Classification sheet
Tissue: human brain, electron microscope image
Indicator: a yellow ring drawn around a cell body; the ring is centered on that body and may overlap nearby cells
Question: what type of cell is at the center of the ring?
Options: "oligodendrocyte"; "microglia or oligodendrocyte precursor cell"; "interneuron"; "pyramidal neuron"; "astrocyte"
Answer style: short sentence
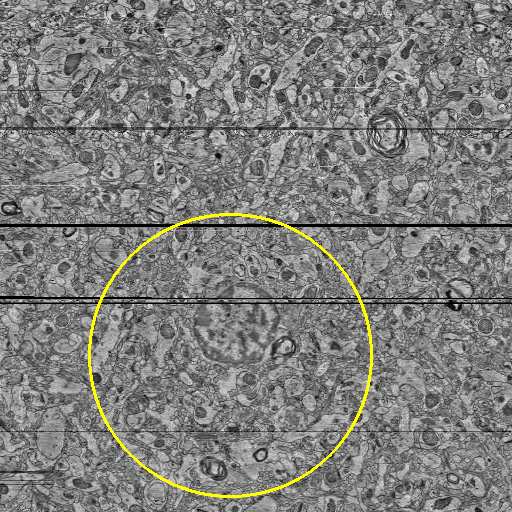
At the ring's center is an oligodendrocyte.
